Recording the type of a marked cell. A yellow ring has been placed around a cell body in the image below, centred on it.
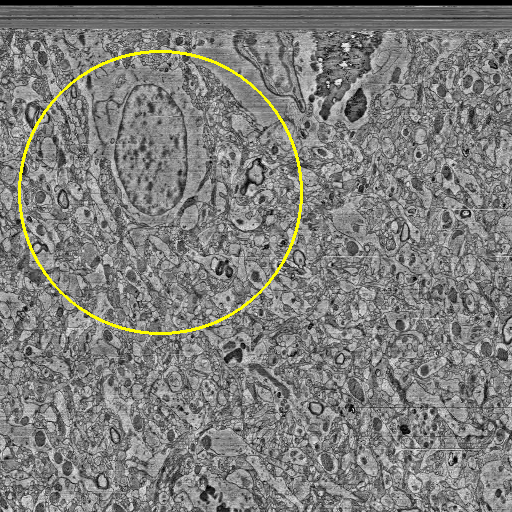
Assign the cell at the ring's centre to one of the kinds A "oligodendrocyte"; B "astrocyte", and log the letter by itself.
B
